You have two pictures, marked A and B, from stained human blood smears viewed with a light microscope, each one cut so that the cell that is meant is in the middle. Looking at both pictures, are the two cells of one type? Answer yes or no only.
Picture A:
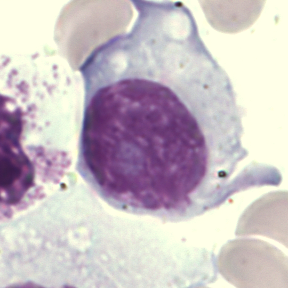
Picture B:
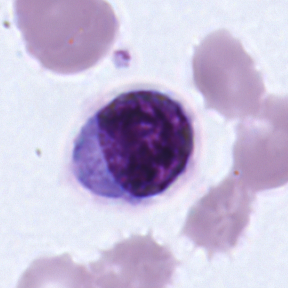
yes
